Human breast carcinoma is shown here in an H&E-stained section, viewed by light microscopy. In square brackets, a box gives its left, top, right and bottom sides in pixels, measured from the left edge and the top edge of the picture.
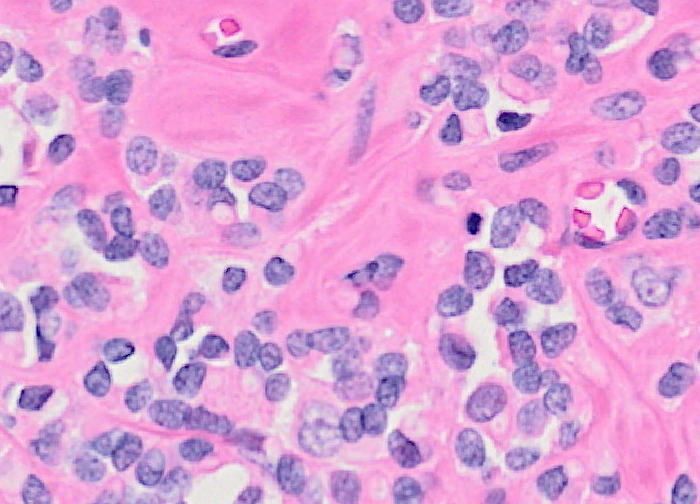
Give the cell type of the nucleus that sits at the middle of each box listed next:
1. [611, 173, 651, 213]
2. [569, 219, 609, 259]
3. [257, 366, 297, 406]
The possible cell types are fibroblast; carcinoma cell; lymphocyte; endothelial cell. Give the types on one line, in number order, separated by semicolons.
endothelial cell; endothelial cell; carcinoma cell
